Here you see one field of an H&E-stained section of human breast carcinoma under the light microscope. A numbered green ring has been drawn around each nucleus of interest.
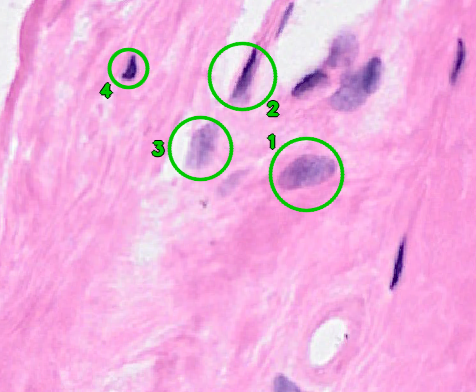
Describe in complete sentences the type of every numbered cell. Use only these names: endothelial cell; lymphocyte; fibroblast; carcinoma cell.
Cell 1 is a fibroblast, cell 2 is an endothelial cell, cell 3 is a fibroblast and cell 4 is a fibroblast.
